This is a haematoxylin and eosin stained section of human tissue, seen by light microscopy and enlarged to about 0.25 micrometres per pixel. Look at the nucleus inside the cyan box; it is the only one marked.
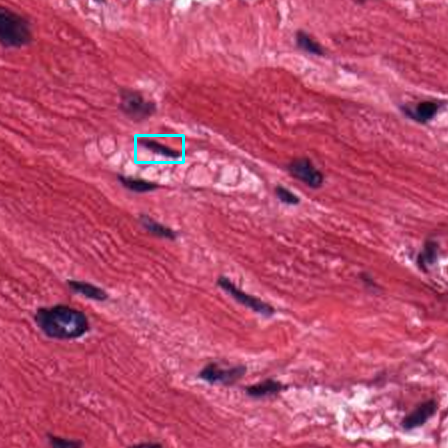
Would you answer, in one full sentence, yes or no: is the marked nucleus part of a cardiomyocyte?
No, the marked nucleus is attributed to a supporting cell, not to a cardiomyocyte.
